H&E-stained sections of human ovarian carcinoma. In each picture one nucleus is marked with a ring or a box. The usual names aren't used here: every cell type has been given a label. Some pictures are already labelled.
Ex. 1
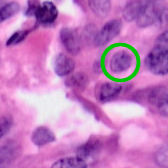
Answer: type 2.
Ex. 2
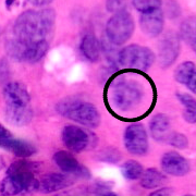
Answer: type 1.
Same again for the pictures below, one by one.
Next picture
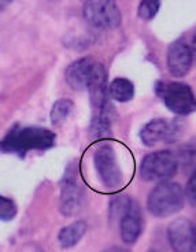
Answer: type 1.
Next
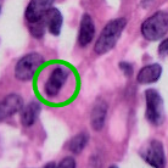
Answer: type 2.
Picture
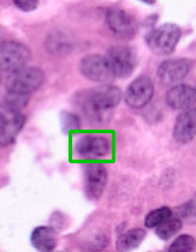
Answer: type 1.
